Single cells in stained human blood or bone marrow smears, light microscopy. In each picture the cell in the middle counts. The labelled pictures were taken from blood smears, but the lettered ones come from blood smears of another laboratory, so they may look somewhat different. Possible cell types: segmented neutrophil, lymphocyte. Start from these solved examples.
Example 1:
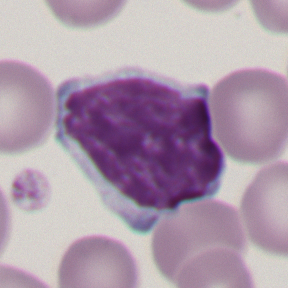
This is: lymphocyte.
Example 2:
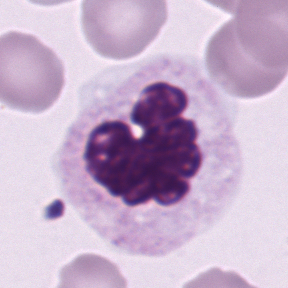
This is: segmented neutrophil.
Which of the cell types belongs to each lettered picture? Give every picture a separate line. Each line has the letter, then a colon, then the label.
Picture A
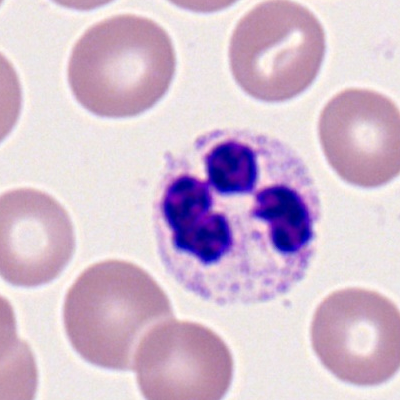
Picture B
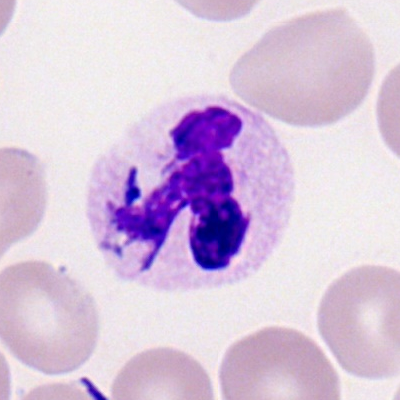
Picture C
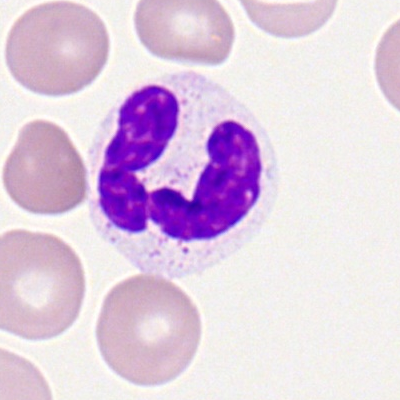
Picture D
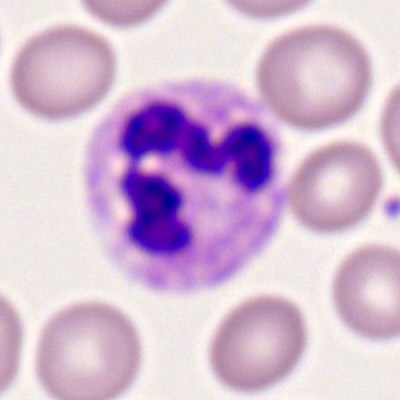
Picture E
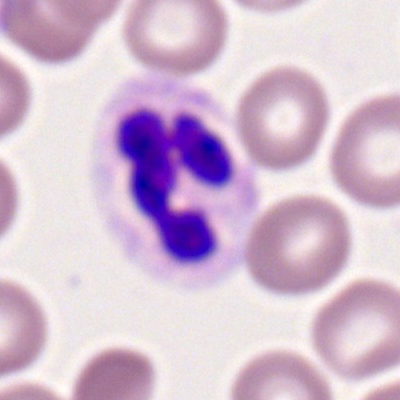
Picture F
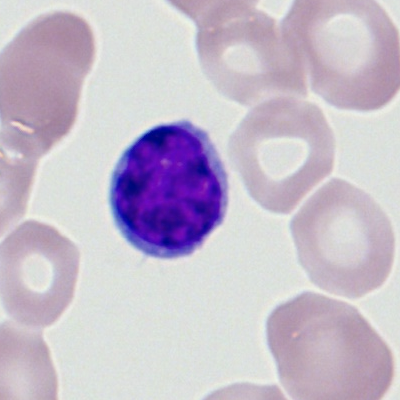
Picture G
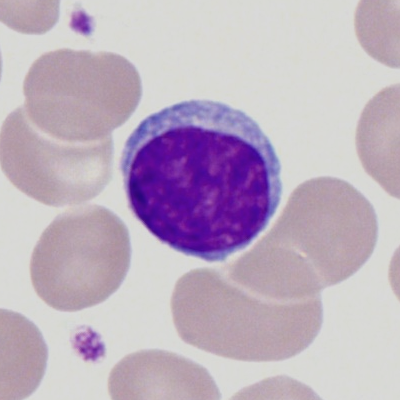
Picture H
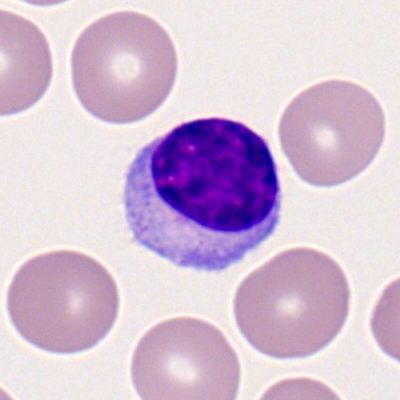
A: segmented neutrophil.
B: segmented neutrophil.
C: segmented neutrophil.
D: segmented neutrophil.
E: segmented neutrophil.
F: lymphocyte.
G: lymphocyte.
H: lymphocyte.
